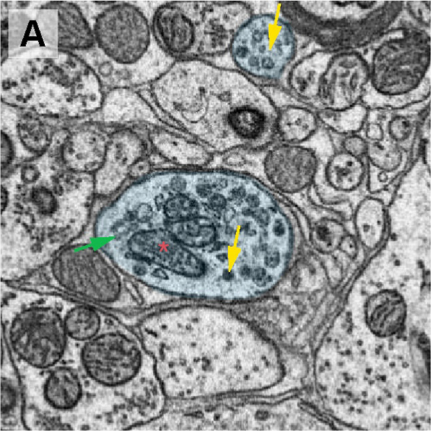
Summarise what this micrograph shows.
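Several mitochondria with visible cristae lie in its middle. A smaller blue-shaded profile at the top also holds dark-cored vesicles. Around them are many cross-sectioned neuronal processes, several containing mitochondria, and a pale dendritic or cell profile below with scattered ribosome-like granules.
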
